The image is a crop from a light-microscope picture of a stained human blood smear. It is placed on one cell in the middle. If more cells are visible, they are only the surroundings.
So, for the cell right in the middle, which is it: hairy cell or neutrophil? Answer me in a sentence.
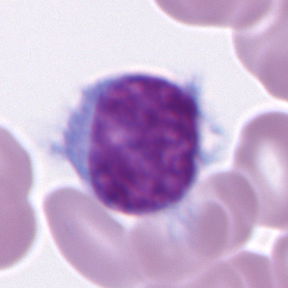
Seen at the centre of the crop is a hairy cell.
